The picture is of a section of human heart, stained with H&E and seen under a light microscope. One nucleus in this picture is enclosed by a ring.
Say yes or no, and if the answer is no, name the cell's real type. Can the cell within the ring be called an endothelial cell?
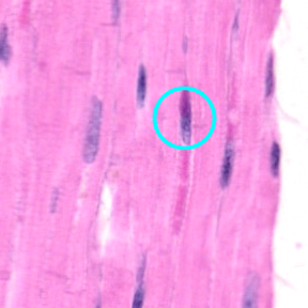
Yes.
